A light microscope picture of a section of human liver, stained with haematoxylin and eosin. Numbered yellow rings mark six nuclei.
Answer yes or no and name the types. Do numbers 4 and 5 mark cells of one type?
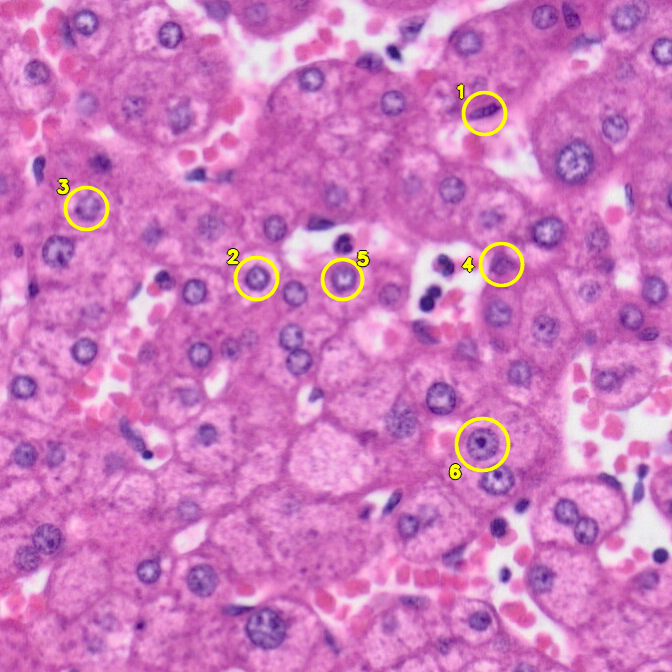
No, unlike cell 5, which is a hepatocyte, cell 4 is an endothelial cell.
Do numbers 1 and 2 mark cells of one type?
No, a fibroblast or stellate cell is what cell 1 is, and a hepatocyte is what cell 2 is.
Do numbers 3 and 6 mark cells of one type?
Yes, the two cells, 3 and 6, are both hepatocytes.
